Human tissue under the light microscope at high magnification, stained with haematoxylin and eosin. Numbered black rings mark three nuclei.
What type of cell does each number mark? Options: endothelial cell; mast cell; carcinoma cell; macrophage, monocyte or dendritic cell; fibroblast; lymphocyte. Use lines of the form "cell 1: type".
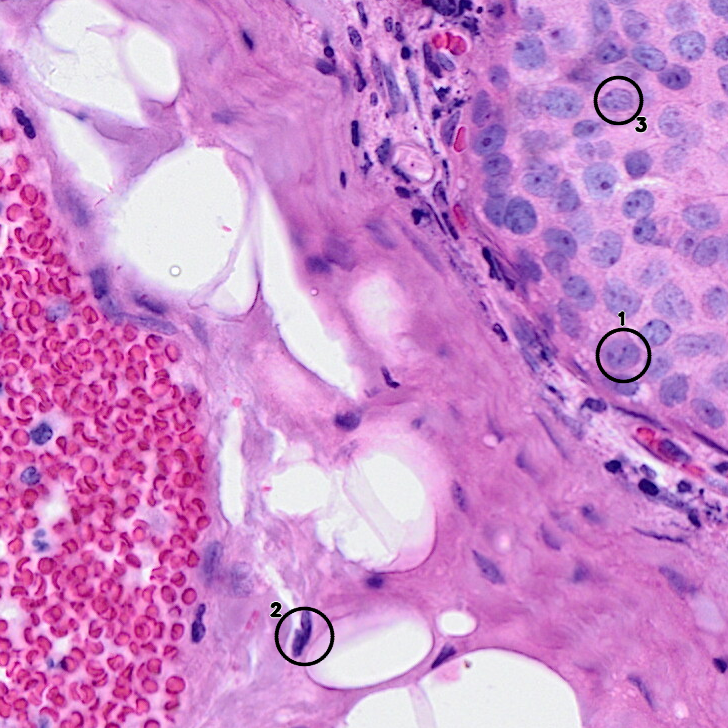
cell 1: carcinoma cell
cell 2: fibroblast
cell 3: carcinoma cell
